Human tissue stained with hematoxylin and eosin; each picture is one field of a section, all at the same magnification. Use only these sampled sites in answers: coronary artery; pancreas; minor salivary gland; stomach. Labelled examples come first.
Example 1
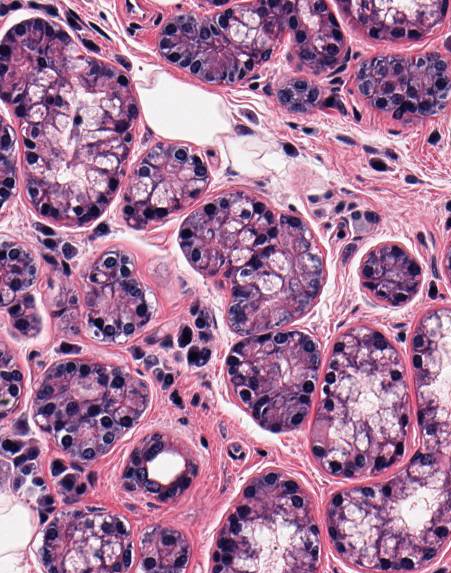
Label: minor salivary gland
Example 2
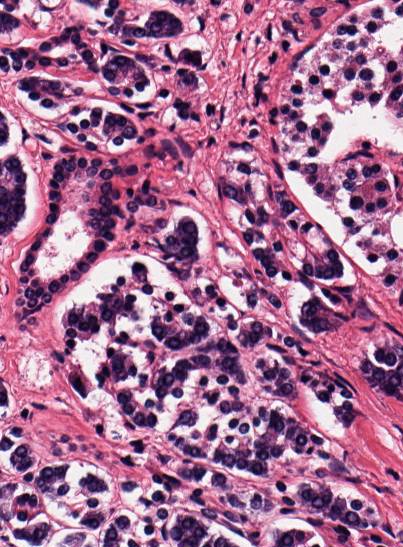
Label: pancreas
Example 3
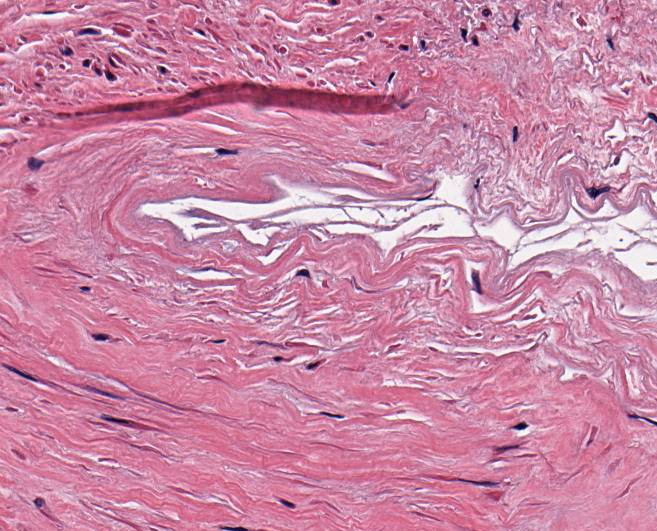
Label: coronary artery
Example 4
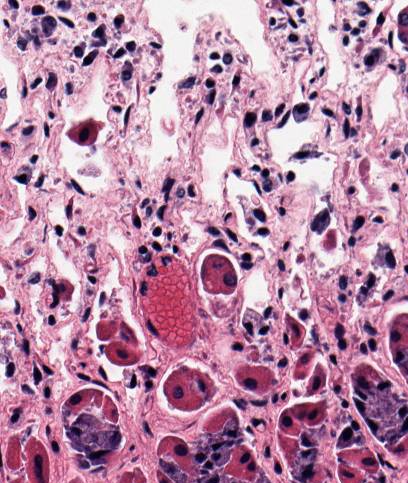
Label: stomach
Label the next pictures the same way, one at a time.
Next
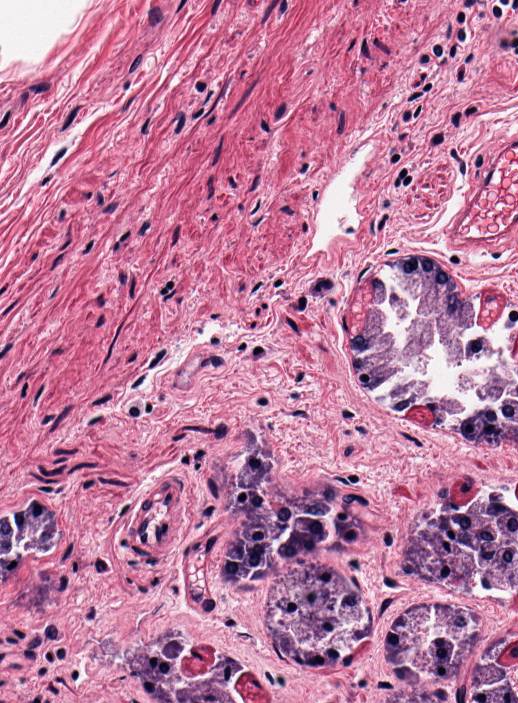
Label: stomach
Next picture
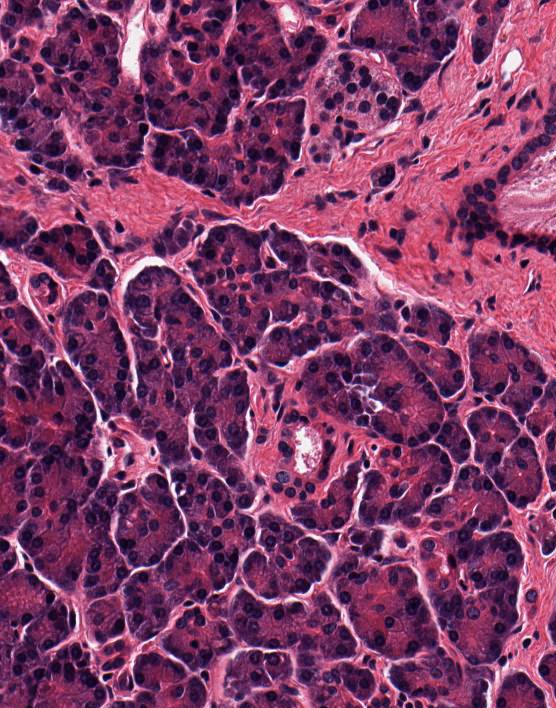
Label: pancreas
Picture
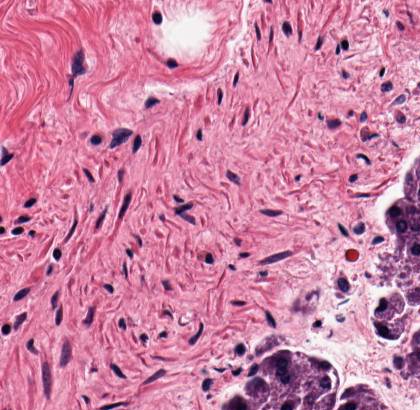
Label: stomach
